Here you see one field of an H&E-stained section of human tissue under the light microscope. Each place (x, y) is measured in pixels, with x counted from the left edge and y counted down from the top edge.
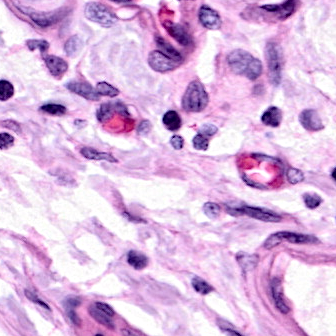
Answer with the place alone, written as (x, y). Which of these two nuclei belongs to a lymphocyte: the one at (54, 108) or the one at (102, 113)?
(54, 108)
